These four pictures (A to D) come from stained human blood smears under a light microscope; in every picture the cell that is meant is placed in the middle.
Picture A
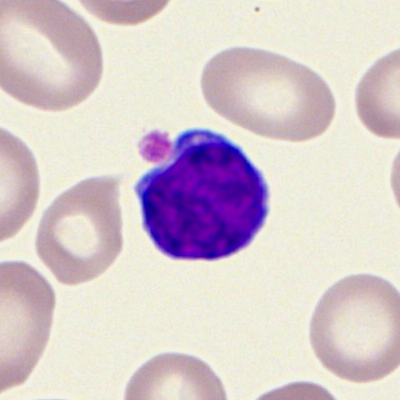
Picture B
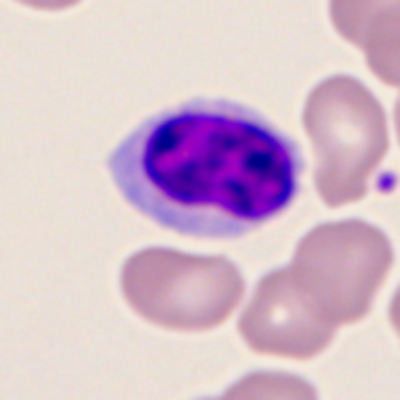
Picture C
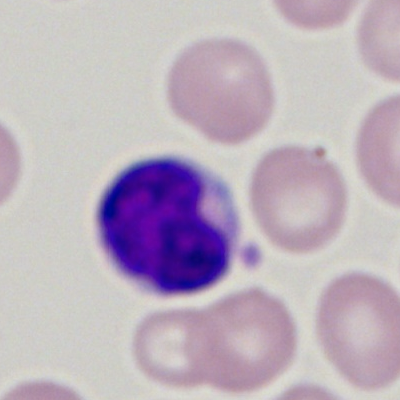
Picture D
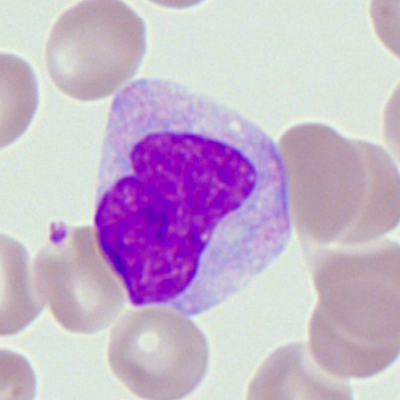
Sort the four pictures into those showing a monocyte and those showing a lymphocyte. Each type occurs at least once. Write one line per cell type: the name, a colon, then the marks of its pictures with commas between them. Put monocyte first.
monocyte: D
lymphocyte: A, B, C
